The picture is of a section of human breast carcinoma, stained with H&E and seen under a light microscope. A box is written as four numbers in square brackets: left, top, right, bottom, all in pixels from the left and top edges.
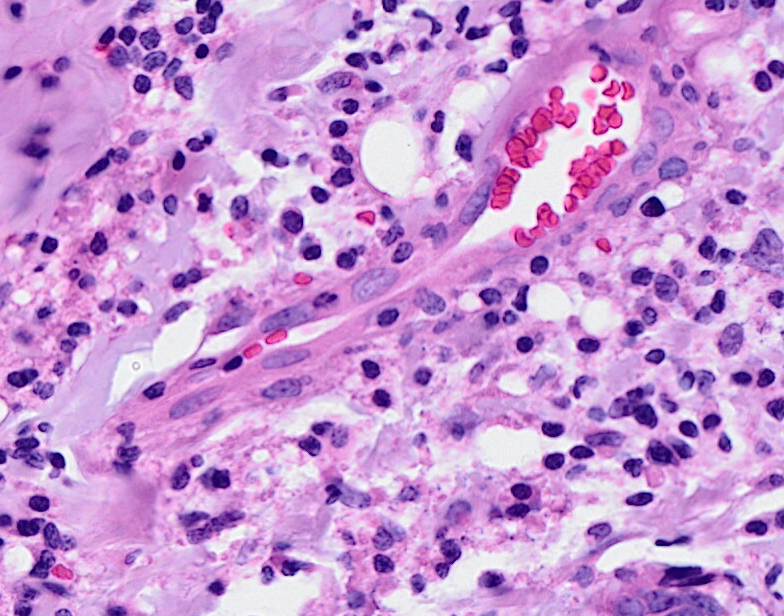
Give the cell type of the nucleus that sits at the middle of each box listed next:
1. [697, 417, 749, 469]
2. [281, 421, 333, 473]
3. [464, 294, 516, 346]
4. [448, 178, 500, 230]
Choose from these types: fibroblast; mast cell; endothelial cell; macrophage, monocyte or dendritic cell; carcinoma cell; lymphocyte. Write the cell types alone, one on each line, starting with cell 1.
lymphocyte
lymphocyte
lymphocyte
endothelial cell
